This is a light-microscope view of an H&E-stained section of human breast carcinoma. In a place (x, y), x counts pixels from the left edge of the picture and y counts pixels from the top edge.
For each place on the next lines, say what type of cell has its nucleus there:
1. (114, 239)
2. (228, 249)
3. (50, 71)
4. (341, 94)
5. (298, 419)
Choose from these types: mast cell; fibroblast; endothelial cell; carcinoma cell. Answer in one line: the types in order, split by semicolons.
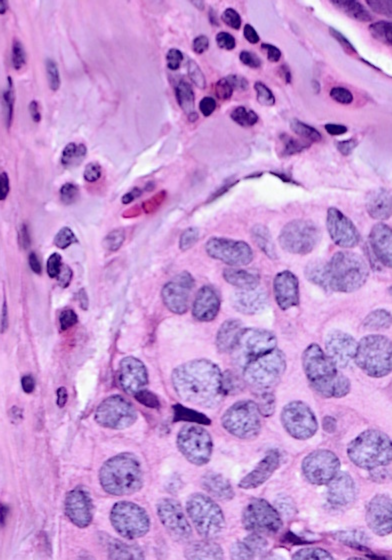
endothelial cell; carcinoma cell; fibroblast; mast cell; carcinoma cell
